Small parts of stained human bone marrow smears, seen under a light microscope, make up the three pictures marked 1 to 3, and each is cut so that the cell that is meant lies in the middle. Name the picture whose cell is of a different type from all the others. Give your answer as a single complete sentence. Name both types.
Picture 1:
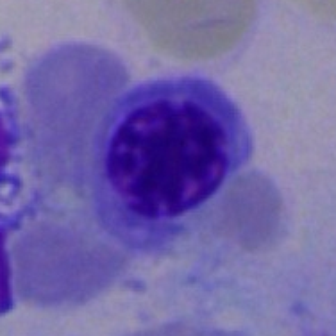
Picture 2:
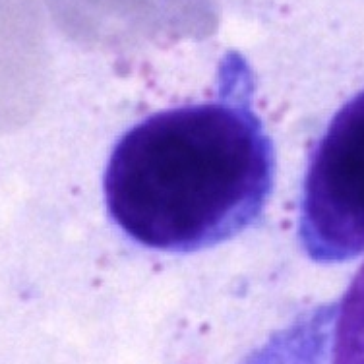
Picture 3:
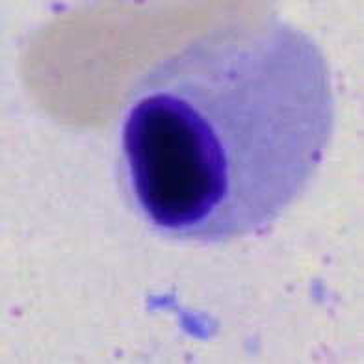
Unlike the rest, which show erythroblasts, picture 2 shows a lymphocyte.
